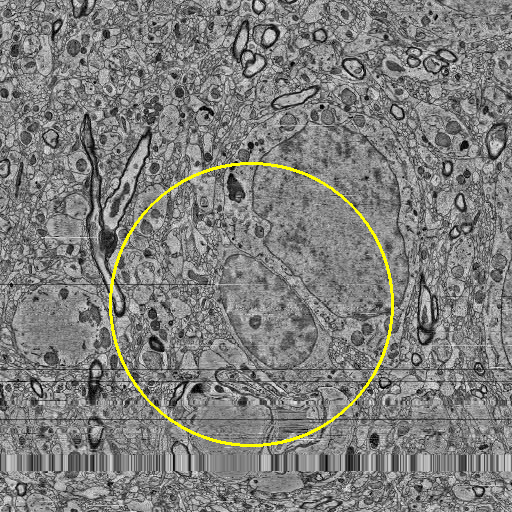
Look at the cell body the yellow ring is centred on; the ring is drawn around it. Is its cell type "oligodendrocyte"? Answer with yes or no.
Yes, that is its cell type.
